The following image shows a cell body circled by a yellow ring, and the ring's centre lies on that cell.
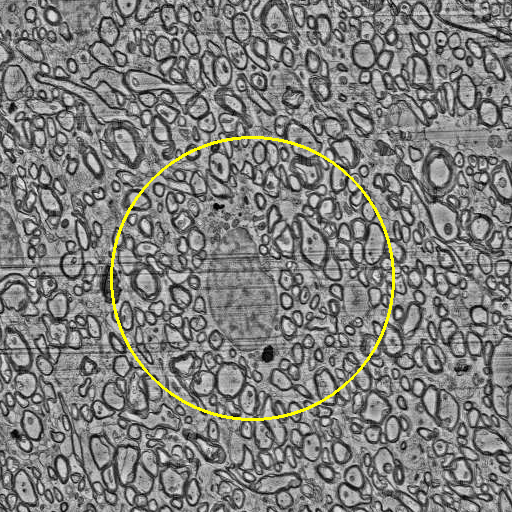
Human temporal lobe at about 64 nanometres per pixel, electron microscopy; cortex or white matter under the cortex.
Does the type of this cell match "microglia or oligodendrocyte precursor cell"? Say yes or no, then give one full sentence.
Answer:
No, the cell at the ring's centre in this picture has a different type.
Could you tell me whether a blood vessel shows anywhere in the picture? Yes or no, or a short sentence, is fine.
No, no blood vessel shows in the picture.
